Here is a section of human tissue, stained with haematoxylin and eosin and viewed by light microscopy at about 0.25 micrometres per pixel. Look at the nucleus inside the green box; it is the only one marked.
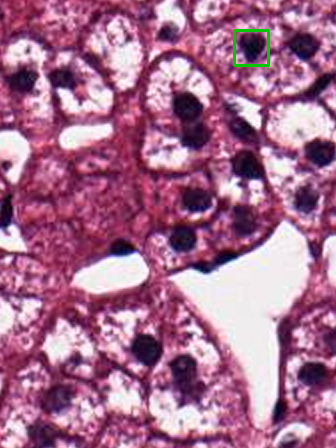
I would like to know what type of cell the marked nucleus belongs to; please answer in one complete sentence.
The mark indicates the nucleus of an adrenal cortical cell.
